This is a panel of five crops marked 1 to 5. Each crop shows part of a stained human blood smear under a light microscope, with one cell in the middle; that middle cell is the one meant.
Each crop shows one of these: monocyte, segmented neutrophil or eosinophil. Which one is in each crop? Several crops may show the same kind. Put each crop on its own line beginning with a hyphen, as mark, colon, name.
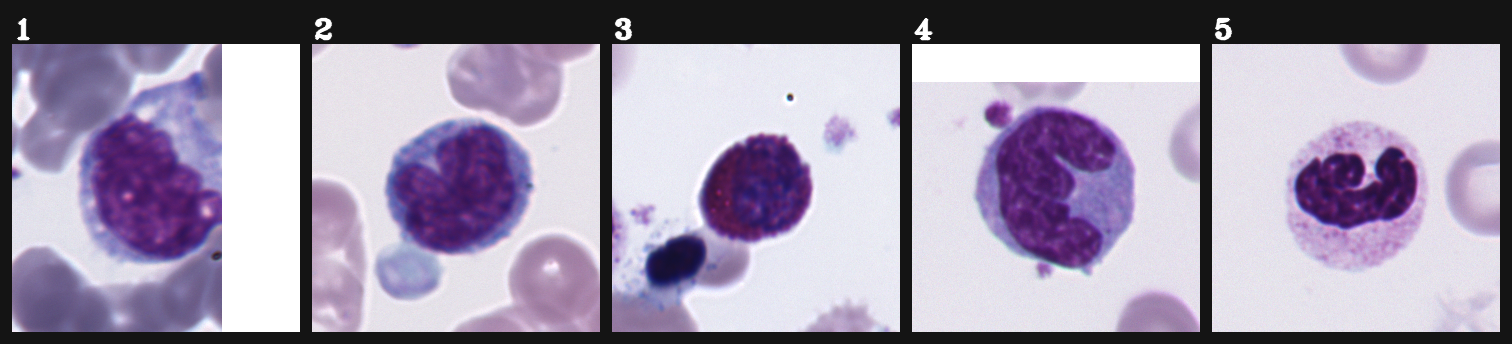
- 1: monocyte
- 2: monocyte
- 3: eosinophil
- 4: monocyte
- 5: segmented neutrophil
